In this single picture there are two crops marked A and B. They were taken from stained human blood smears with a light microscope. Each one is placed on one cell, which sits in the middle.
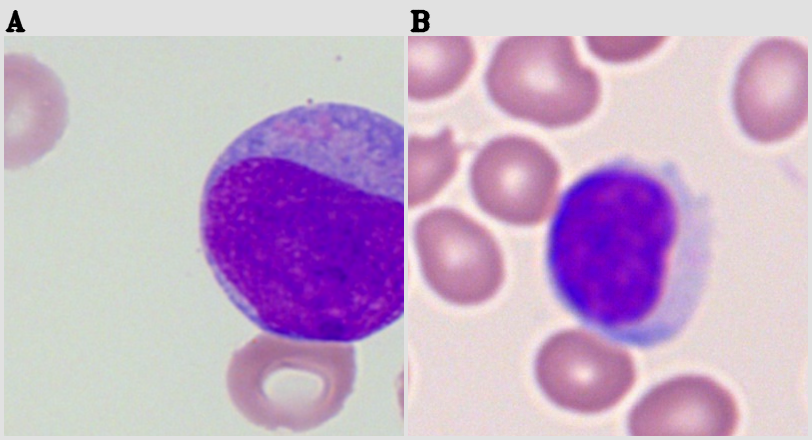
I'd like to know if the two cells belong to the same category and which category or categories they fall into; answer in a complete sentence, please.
No, crop A has a myeloblast in the middle, and crop B has a lymphocyte.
